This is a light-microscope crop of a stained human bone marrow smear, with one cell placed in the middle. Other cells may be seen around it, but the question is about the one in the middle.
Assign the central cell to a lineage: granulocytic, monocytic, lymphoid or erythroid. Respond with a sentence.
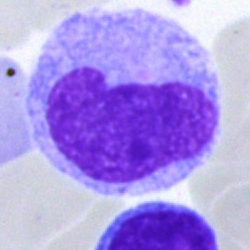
Our central cell here is part of the monocytic lineage.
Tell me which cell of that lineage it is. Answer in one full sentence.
This particular crop is centered on a monocyte.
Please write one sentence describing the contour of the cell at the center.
Thanks for asking; the cell edge is smooth and has no projections.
